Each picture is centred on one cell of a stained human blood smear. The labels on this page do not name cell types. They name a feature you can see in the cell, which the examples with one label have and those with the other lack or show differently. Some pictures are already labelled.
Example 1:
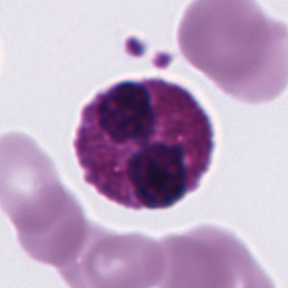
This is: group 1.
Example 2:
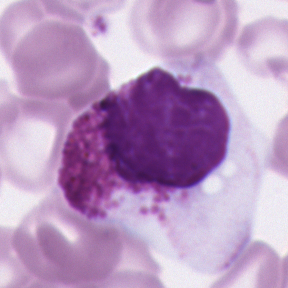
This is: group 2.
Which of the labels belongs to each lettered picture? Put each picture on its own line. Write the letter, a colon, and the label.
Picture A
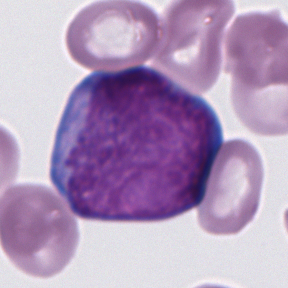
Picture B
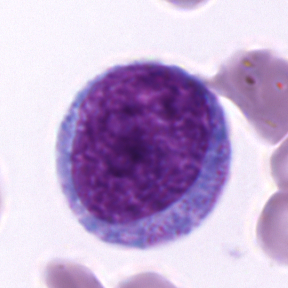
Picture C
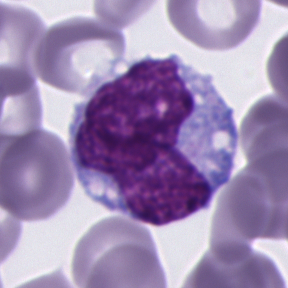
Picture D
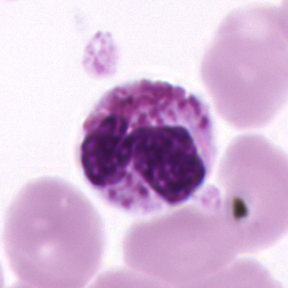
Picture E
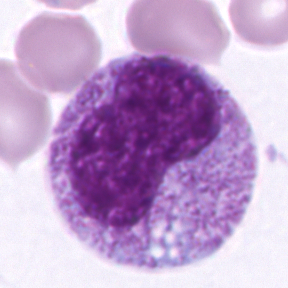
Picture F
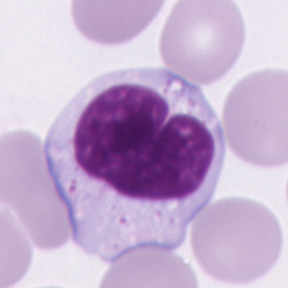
A: group 1.
B: group 1.
C: group 2.
D: group 1.
E: group 2.
F: group 2.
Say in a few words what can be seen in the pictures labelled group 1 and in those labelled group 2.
group 1, no vacuoles; group 2, vacuoles present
